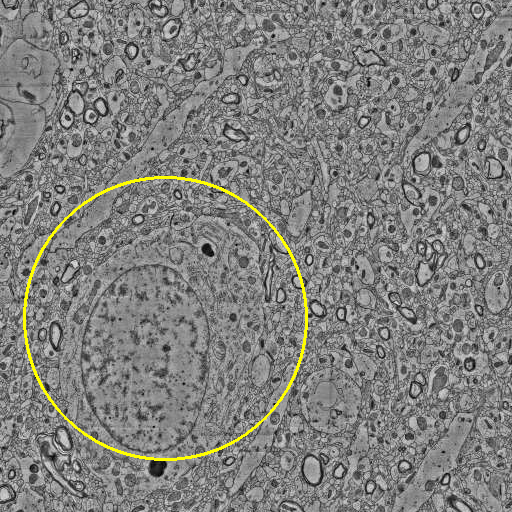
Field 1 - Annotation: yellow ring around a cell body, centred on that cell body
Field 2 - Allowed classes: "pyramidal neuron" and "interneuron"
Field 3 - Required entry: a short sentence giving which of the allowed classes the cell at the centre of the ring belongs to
The centred cell is an interneuron.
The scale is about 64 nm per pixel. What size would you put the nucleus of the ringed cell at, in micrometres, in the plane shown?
The ringed cell's nucleus measures approximately 12 by 8 micrometres in this plane.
